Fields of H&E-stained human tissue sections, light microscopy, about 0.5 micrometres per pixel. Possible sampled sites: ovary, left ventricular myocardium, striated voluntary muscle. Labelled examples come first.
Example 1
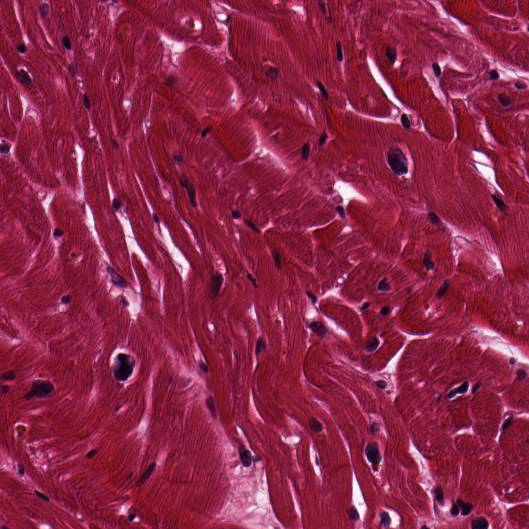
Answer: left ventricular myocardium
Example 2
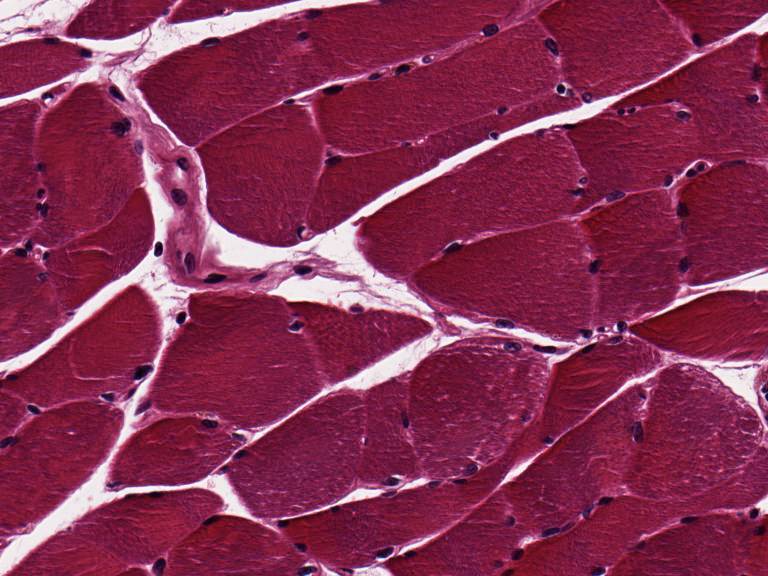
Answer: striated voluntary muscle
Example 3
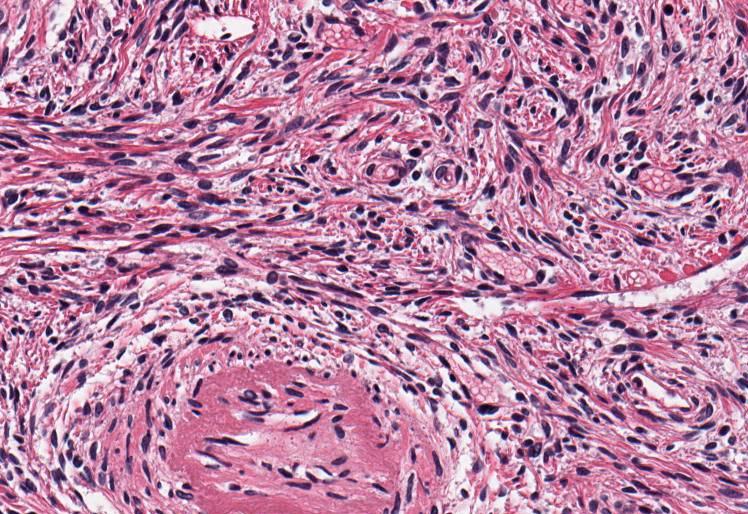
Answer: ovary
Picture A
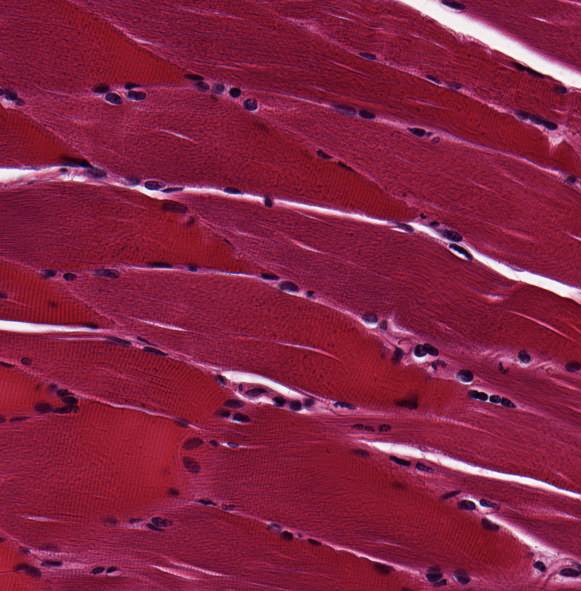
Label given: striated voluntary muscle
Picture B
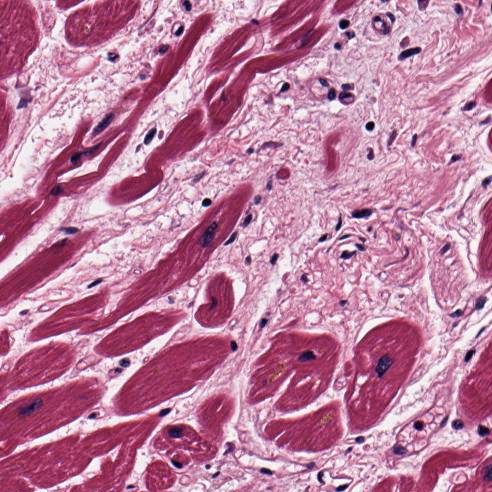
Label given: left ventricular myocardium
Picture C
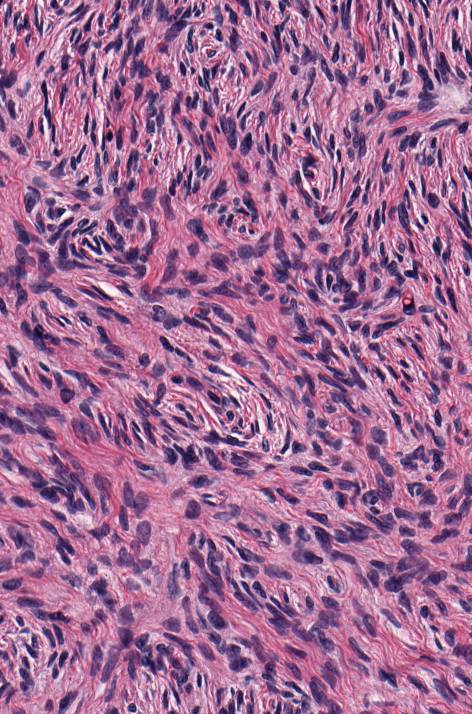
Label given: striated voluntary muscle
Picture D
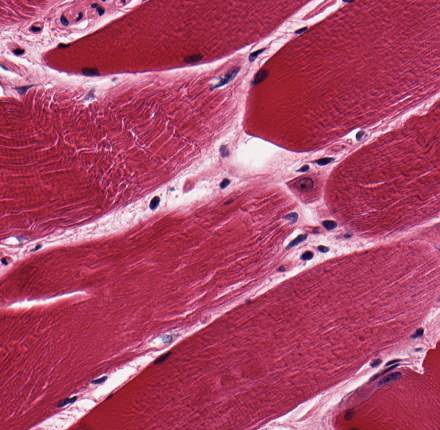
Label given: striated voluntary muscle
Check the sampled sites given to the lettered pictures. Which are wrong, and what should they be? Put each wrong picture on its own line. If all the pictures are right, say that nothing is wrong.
C: ovary, not striated voluntary muscle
